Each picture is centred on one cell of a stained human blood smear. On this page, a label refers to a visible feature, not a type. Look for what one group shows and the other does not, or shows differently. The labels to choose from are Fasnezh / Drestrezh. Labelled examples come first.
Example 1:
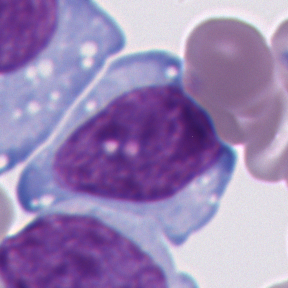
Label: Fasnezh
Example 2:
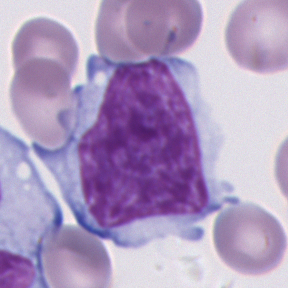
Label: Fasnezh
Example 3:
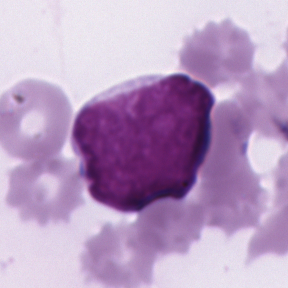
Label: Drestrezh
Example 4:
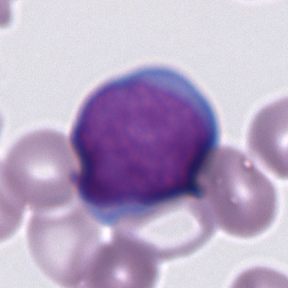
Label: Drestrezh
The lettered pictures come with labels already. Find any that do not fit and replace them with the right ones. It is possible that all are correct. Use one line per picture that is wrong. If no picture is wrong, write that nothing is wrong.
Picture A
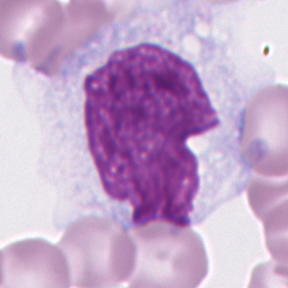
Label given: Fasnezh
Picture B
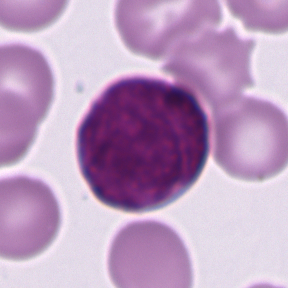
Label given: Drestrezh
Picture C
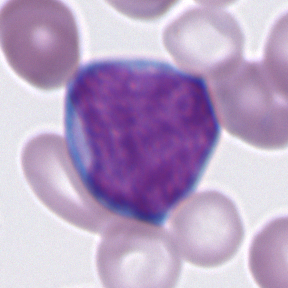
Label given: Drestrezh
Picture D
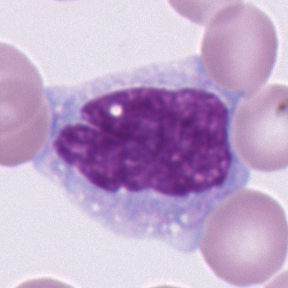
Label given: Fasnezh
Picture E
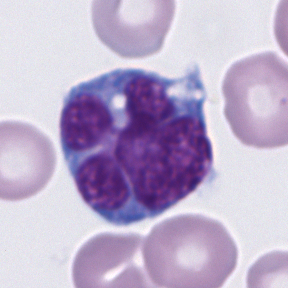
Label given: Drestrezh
E: not Drestrezh but Fasnezh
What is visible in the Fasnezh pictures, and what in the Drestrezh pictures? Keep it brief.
Fasnezh: vacuoles present; Drestrezh: no vacuoles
